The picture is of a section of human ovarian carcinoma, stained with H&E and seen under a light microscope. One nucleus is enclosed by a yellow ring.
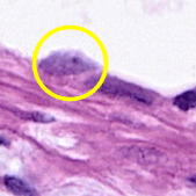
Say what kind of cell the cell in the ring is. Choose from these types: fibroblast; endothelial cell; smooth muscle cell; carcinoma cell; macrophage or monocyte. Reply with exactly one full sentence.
As for its identity, the cell in the ring is an endothelial cell.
